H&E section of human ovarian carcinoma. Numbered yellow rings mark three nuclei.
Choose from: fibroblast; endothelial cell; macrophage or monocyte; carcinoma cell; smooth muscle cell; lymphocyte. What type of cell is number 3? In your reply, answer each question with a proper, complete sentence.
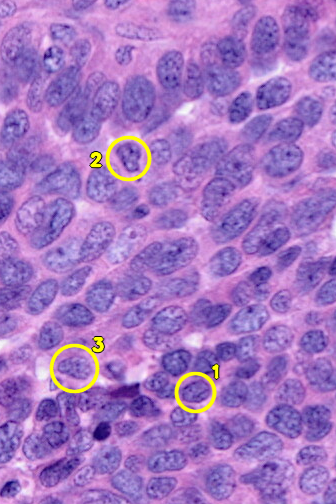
The cell that carries the label 3 is a carcinoma cell.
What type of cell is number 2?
Belonging to a macrophage or monocyte is the nucleus that carries the number 2.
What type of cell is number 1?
Here, the cell given the number 1 is a carcinoma cell.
